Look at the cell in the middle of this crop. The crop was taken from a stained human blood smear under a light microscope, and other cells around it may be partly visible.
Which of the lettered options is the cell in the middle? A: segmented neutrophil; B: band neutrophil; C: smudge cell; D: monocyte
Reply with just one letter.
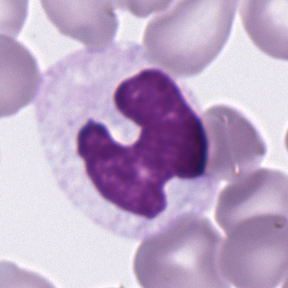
B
